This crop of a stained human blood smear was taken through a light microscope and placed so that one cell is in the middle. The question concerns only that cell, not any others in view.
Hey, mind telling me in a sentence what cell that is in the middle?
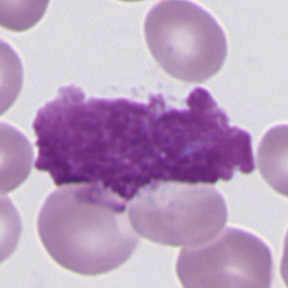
The single cell at the center of the crop is a smudge cell.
